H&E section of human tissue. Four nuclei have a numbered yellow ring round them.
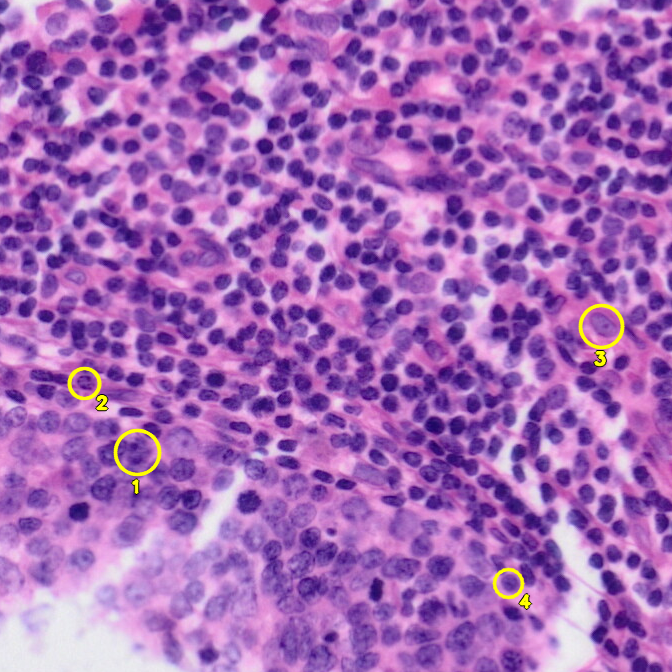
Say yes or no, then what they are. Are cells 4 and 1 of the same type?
Yes, for cells 4 and 1 alike, the identity is that of proliferating B cells.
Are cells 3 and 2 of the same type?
No, not so; cell 3 is an endothelial cell and cell 2 is a plasma cell.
